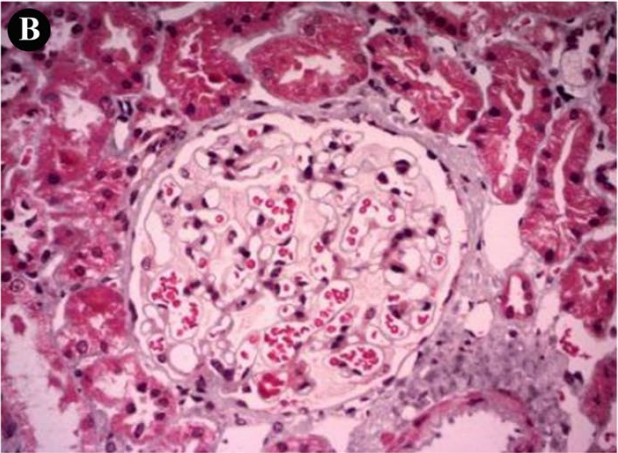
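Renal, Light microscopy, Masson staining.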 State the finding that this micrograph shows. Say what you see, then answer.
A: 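Vacuolization and foamy changes in podocytes. A glomerulus is surrounded by red-stained tubules. The glomerular tuft holds many pale, empty-looking cells around capillary loops containing red blood cells.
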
